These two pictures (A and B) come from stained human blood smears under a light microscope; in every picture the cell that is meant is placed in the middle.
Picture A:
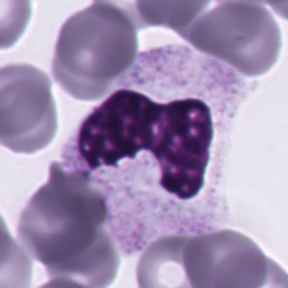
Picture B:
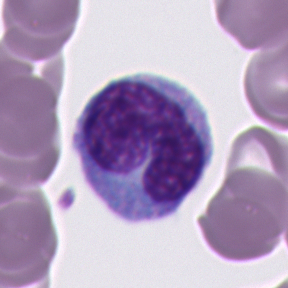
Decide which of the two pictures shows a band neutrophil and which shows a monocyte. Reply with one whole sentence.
It is picture A that shows a band neutrophil, and picture B that shows a monocyte.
